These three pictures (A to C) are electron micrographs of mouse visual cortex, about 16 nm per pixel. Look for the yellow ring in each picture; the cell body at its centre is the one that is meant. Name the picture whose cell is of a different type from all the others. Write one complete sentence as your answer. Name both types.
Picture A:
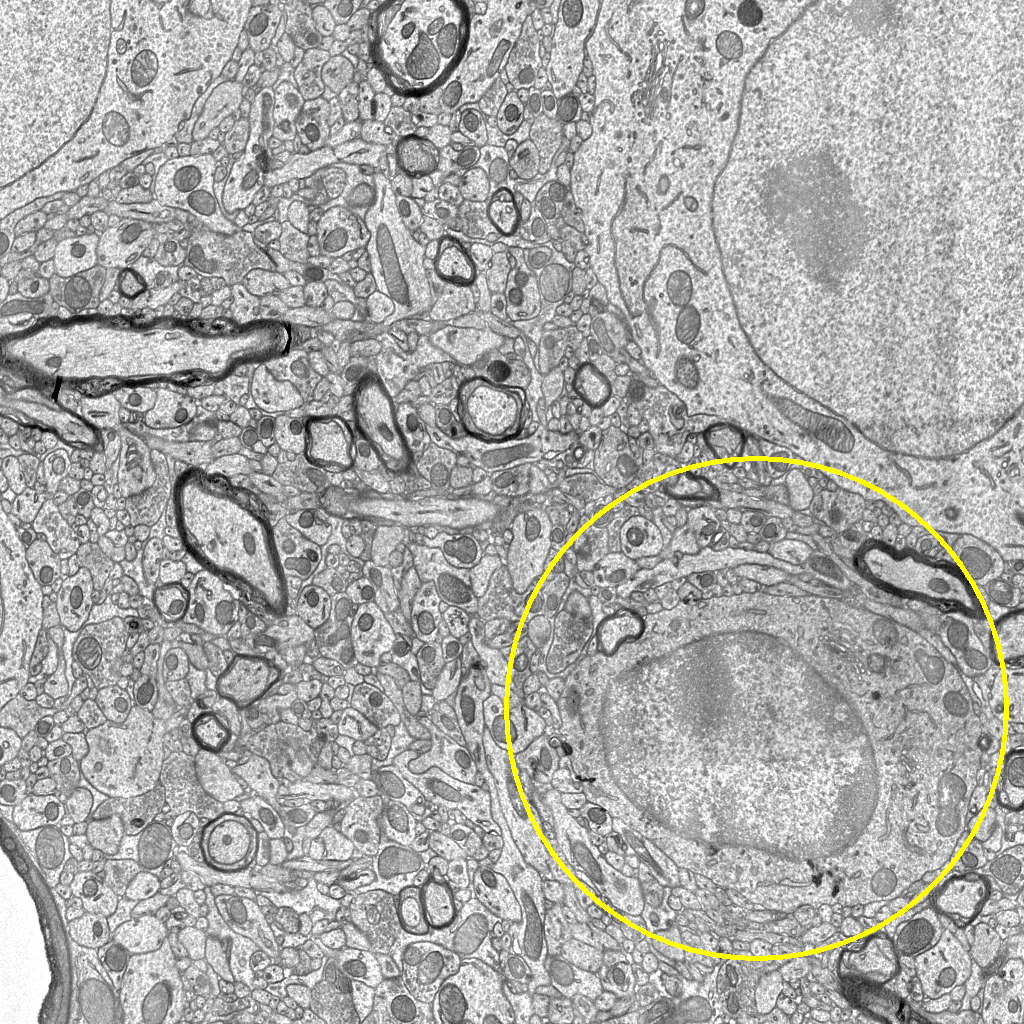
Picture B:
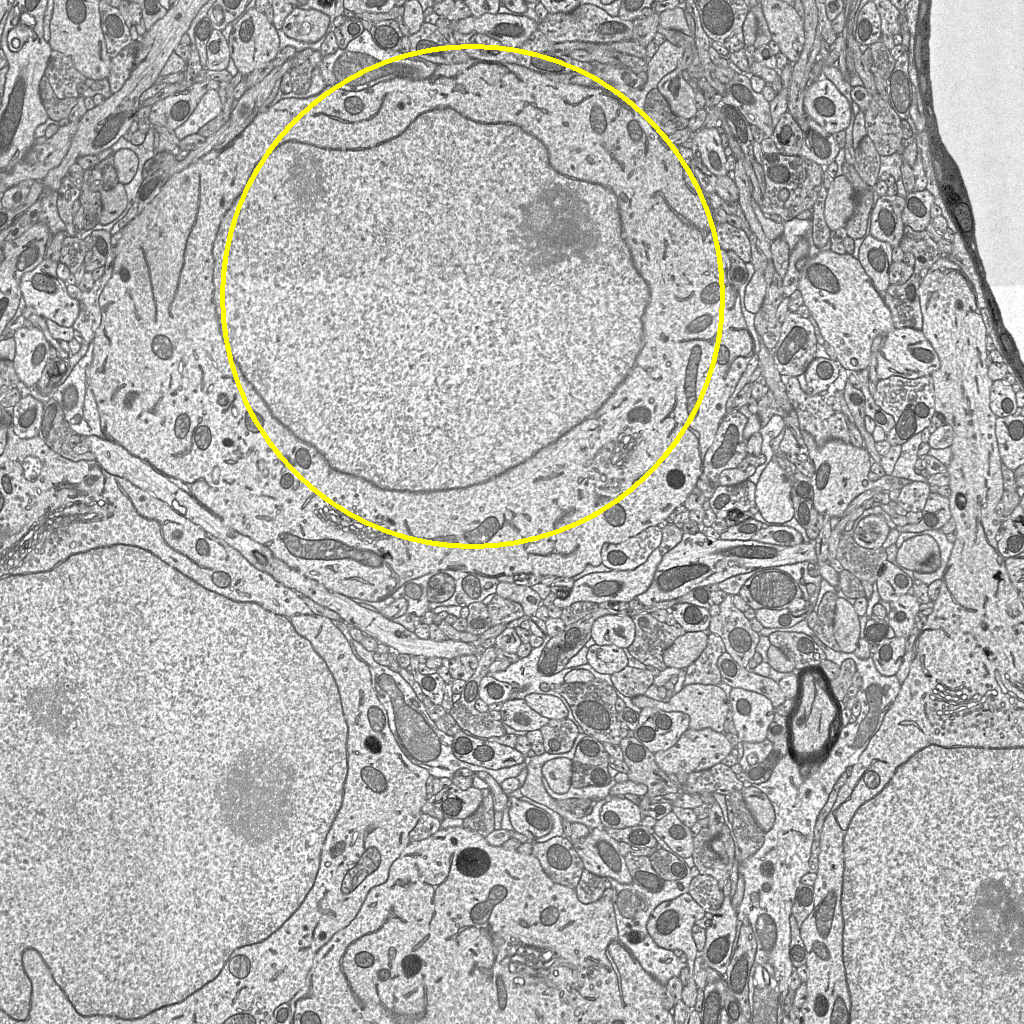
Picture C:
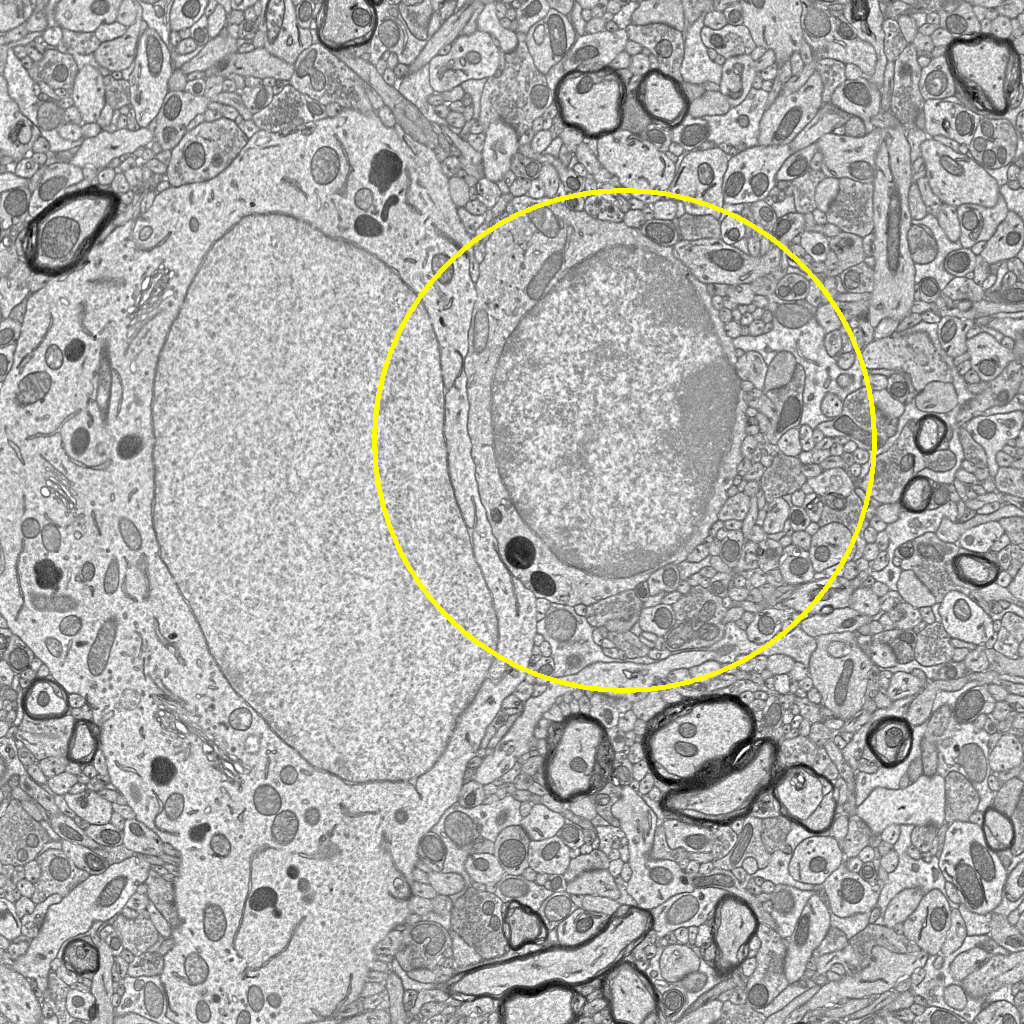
Picture B is the odd one out: it shows an excitatory neuron, while the others show oligodendrocytes.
